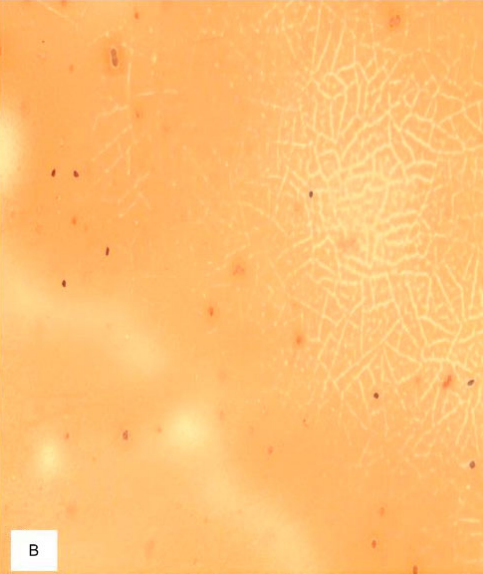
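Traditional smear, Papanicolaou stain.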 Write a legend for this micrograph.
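Fine cracks give the colloid a crazed, mosaic-like pattern, best seen on the right. Paler, washed-out areas lie at the lower left. No follicular cell groups are seen, only scattered tiny dark dots.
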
